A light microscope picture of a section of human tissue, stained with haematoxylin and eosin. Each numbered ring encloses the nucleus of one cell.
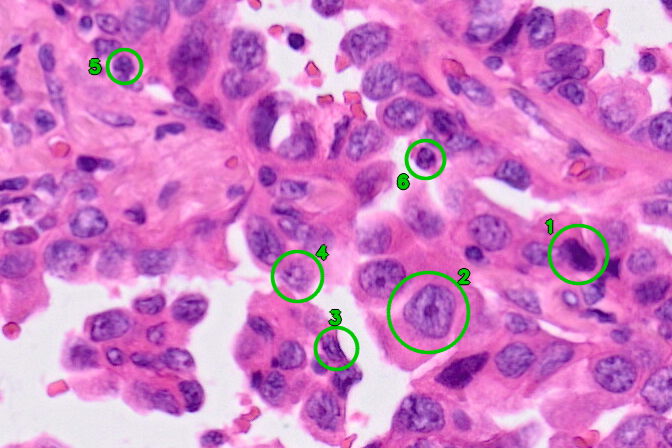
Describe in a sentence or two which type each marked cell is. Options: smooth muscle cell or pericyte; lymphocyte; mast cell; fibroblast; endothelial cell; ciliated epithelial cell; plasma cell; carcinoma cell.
Cells 1, 2, 3 and 4 are carcinoma cells. Cells 5 and 6 are lymphocytes.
